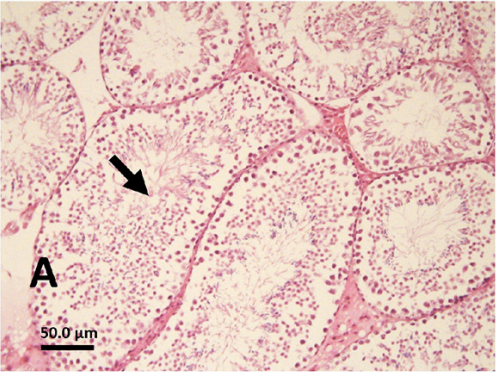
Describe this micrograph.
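Testicular tissue with seminiferous tubules cut in cross-section, each lined by a thick, layered epithelium of many round purple nuclei extending from the thin pink basement membrane toward the lumen. The lumens contain pale pink fibrillar material with small dark elongated bodies converging toward the centre. Narrow pink interstitial tissue with a small vessel lies between the closely apposed tubules.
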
